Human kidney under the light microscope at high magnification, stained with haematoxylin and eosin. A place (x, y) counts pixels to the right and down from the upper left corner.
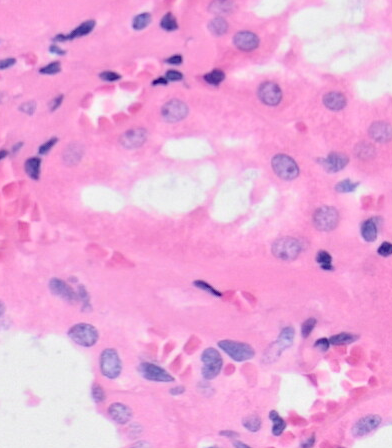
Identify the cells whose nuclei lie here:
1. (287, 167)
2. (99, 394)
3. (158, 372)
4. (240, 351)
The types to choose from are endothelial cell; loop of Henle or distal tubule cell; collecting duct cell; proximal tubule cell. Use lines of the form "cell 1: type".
cell 1: proximal tubule cell
cell 2: loop of Henle or distal tubule cell
cell 3: endothelial cell
cell 4: endothelial cell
